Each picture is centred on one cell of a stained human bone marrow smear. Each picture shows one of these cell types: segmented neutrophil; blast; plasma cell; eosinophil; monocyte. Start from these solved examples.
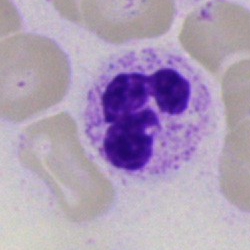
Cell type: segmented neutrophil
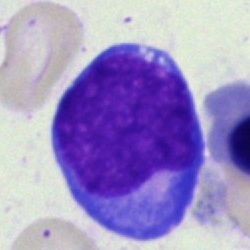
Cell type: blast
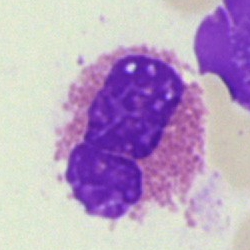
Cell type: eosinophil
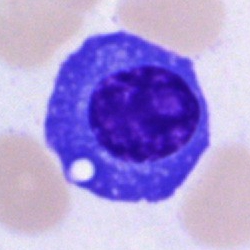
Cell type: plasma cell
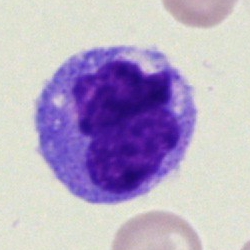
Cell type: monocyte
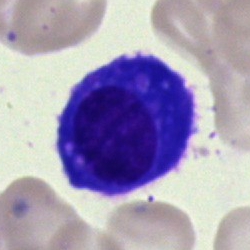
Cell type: plasma cell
